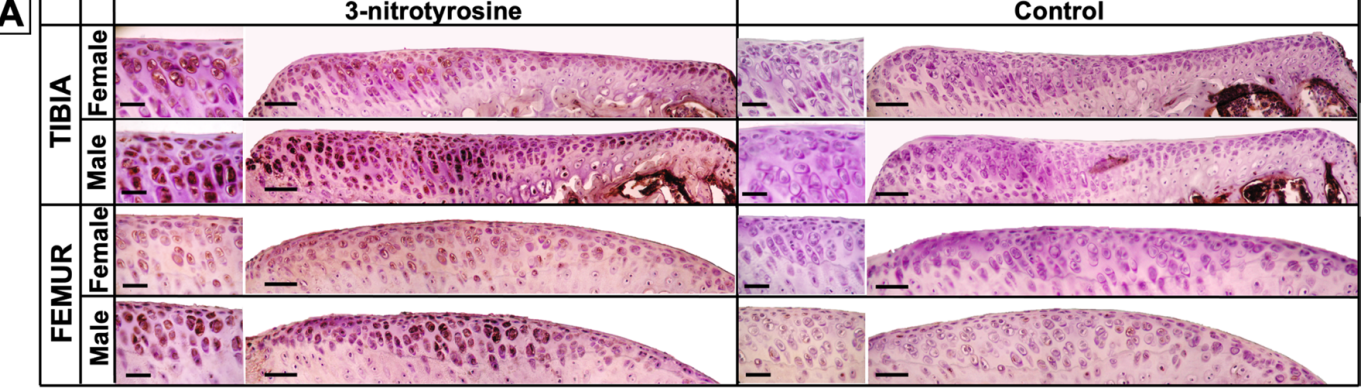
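This grid shows full-thickness articular cartilage, with its chondrocytes lying in lacunae within a pale, homogeneous matrix. Each section has a smooth, gently curved free surface. Near the surface the chondrocytes are small and flattened. Deeper down they become larger and rounder and form short groups and columns. In the left-hand images many chondrocytes hold a brown to dark brown deposit in their cytoplasm, and some rows are much darker than others.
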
